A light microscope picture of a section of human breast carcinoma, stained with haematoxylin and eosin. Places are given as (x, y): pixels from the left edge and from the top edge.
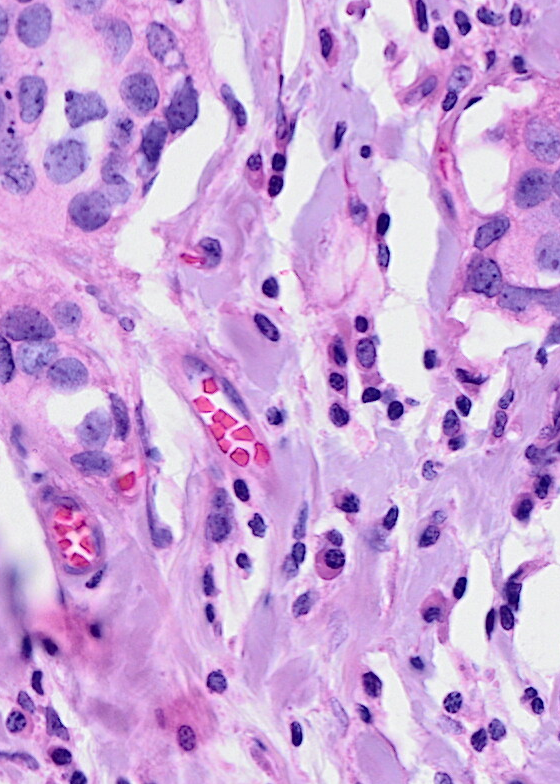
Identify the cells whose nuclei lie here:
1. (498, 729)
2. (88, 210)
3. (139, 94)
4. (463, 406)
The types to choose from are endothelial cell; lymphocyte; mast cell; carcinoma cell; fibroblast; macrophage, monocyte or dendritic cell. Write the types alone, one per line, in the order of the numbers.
lymphocyte
carcinoma cell
carcinoma cell
lymphocyte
